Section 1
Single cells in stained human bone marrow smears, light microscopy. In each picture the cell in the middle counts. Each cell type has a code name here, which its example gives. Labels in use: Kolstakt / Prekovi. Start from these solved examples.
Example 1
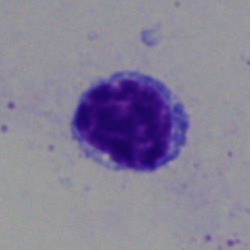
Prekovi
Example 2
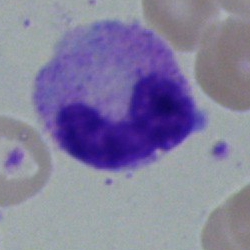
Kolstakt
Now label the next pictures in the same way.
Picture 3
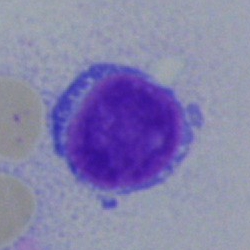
Prekovi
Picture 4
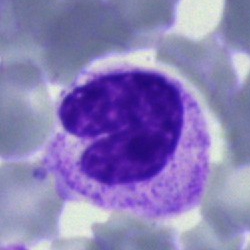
Kolstakt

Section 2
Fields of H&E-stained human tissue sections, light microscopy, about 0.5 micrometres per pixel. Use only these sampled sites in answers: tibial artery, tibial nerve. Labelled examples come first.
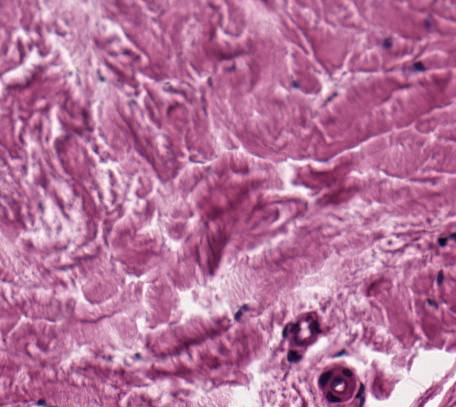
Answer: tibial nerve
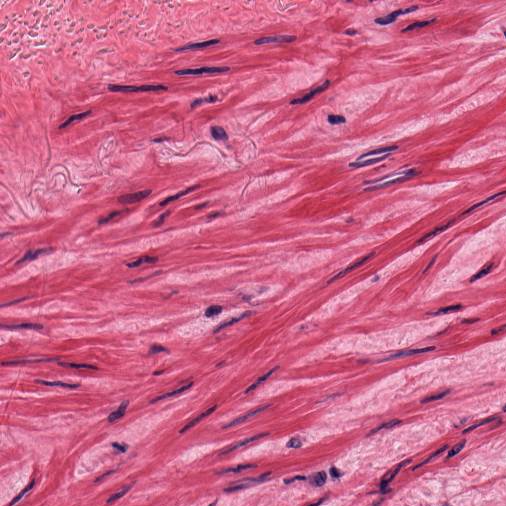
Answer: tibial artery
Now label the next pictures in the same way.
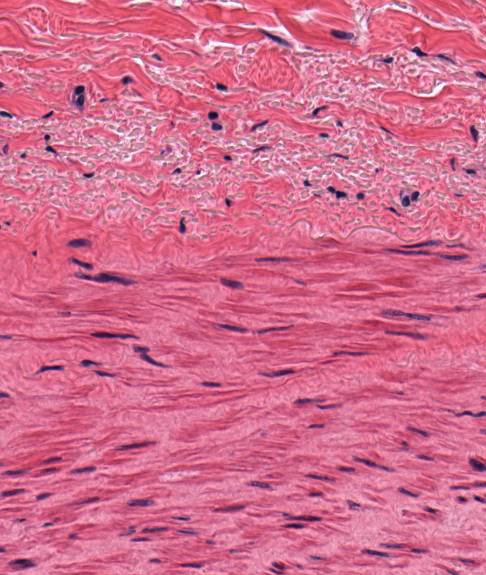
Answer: tibial artery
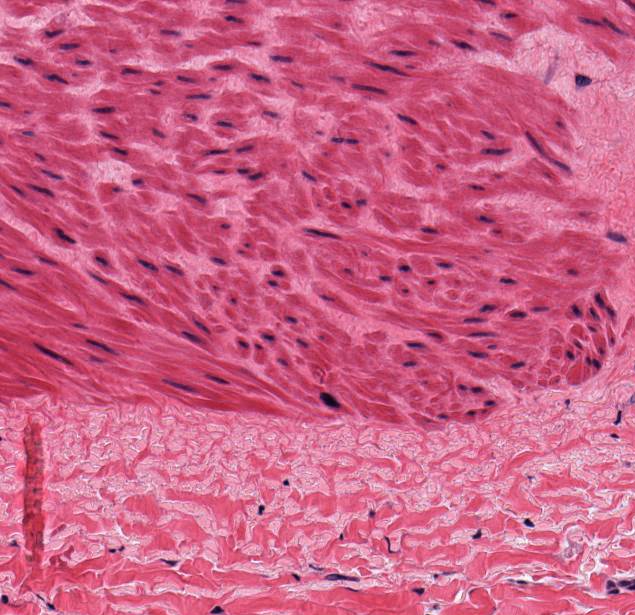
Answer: tibial artery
